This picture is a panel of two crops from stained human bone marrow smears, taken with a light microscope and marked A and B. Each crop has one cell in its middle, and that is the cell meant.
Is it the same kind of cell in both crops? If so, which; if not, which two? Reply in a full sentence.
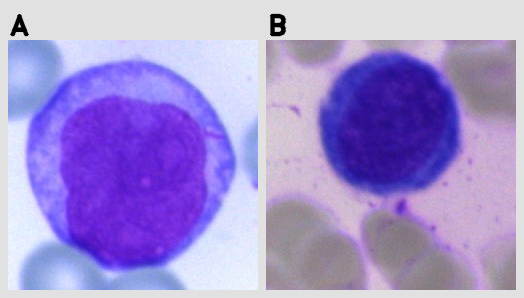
Yes, put down blasts for both crops.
